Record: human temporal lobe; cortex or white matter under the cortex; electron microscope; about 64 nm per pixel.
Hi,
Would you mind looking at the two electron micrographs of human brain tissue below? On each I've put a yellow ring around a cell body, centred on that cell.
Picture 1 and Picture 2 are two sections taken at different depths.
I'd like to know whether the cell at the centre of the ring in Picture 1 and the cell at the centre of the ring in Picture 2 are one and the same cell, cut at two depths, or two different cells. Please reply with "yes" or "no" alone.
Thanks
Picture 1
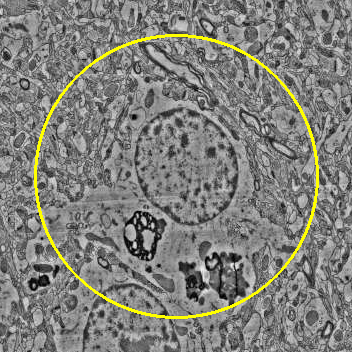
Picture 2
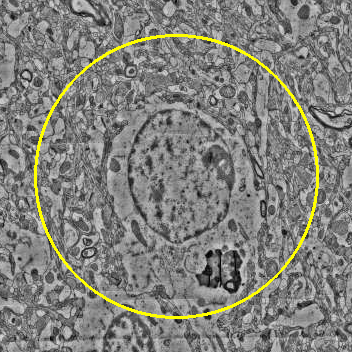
yes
